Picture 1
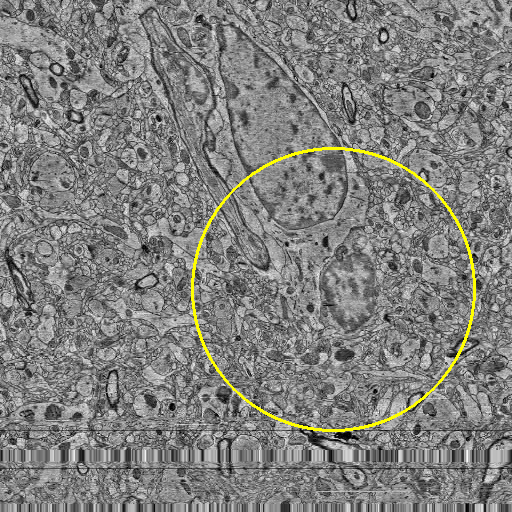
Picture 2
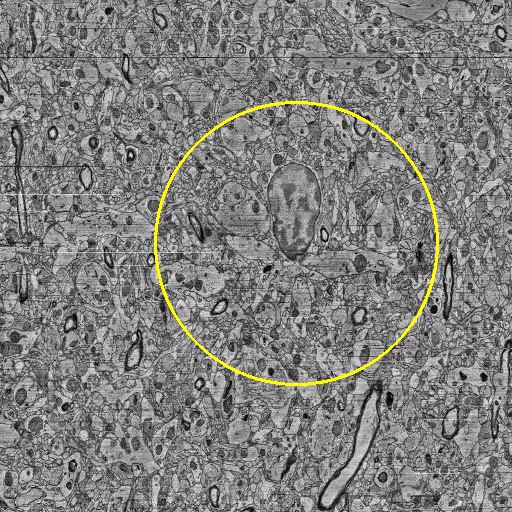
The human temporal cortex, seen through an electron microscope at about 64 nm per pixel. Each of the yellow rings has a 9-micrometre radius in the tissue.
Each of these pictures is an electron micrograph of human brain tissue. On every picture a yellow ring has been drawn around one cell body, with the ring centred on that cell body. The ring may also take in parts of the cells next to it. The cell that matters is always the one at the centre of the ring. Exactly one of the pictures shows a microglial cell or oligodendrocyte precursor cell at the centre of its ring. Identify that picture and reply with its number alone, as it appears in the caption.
2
